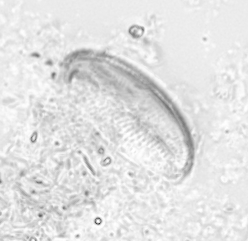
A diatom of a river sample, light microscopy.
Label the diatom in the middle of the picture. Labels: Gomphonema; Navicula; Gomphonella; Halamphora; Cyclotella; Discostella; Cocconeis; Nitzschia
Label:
Cocconeis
